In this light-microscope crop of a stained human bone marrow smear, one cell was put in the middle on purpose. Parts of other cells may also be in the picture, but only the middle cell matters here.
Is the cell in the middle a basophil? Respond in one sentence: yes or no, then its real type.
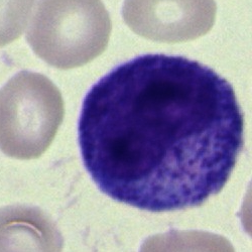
No, it is a promyelocyte rather than a basophil that the middle of the crop contains.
